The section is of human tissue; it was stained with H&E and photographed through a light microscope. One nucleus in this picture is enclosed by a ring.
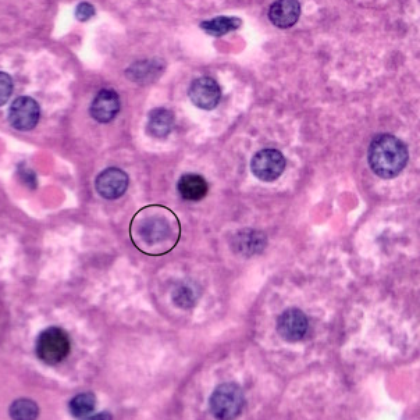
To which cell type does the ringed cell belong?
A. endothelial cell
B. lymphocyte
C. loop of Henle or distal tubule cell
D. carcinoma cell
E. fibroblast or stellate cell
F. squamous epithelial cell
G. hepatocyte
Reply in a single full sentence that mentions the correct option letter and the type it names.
Here the correct option is G, since the ringed cell is a hepatocyte.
